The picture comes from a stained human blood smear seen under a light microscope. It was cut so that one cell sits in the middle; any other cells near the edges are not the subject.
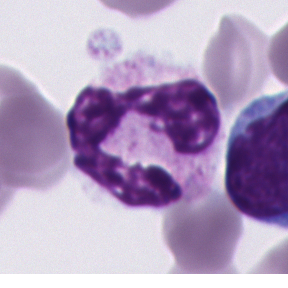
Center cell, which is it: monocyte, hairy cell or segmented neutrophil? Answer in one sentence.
Within this crop, a segmented neutrophil occupies the central position.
